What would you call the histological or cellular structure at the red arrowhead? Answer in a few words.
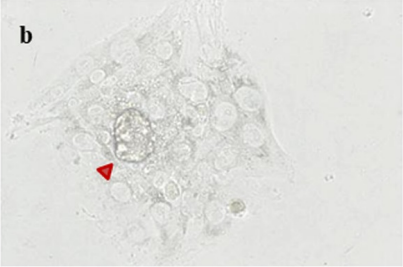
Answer: Inner cell mass.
